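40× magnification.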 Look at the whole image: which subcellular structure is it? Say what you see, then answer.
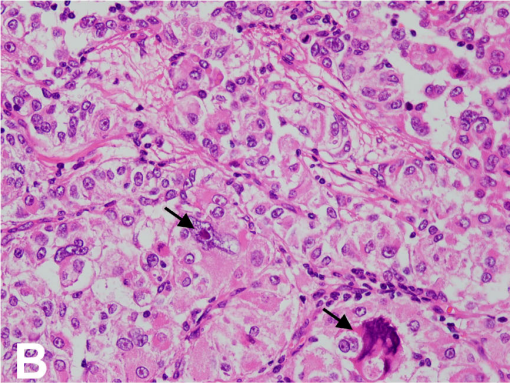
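Many round nuclei contain a distinct dark dot. That points to this answer: prominent nucleoli.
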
